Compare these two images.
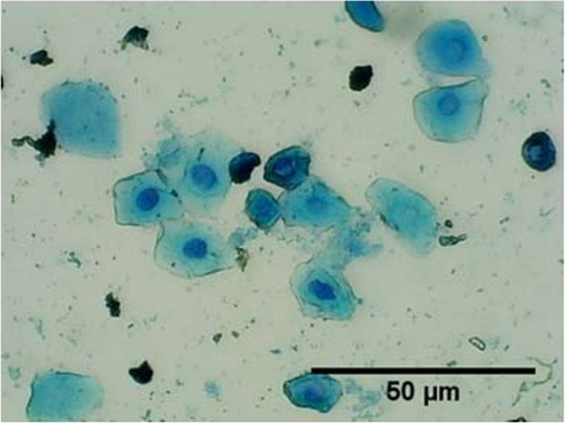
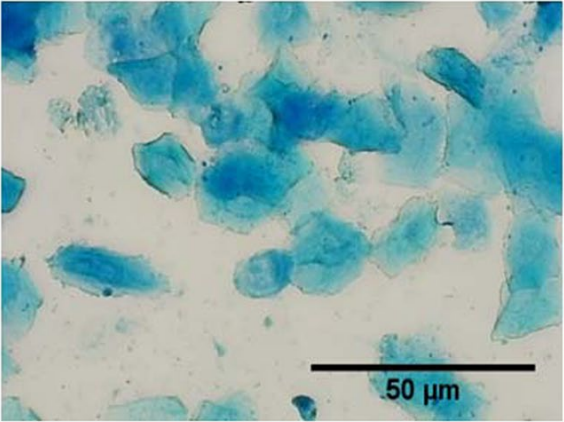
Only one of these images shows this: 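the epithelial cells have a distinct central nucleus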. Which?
The first image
